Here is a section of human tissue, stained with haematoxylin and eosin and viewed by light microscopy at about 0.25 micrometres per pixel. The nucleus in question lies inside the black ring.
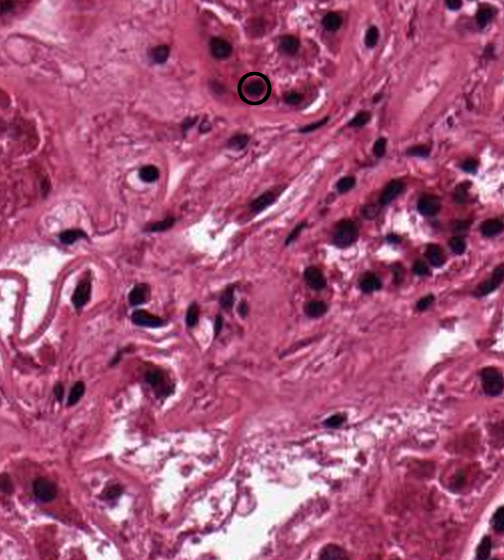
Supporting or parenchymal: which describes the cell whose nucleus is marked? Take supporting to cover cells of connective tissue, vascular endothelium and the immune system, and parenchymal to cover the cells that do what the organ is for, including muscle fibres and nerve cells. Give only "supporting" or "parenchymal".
parenchymal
